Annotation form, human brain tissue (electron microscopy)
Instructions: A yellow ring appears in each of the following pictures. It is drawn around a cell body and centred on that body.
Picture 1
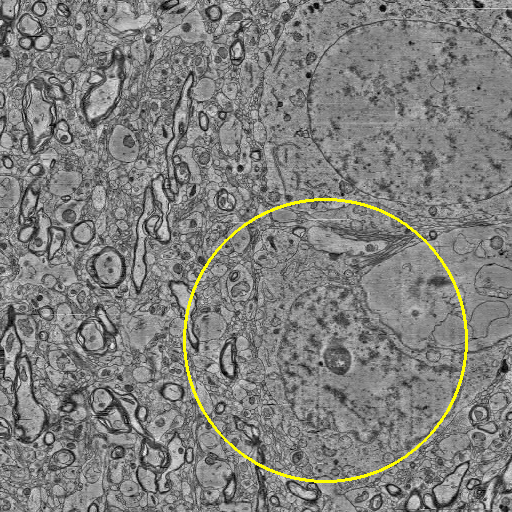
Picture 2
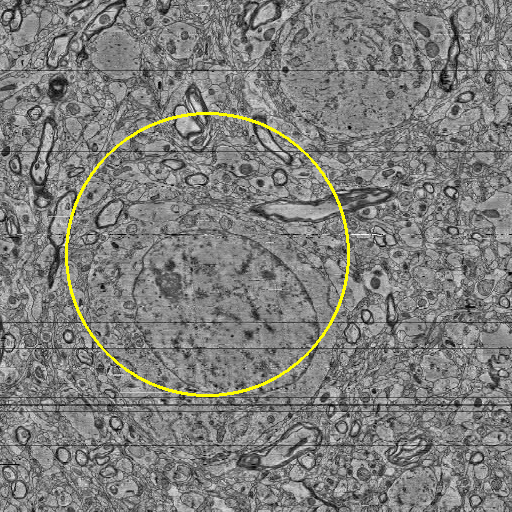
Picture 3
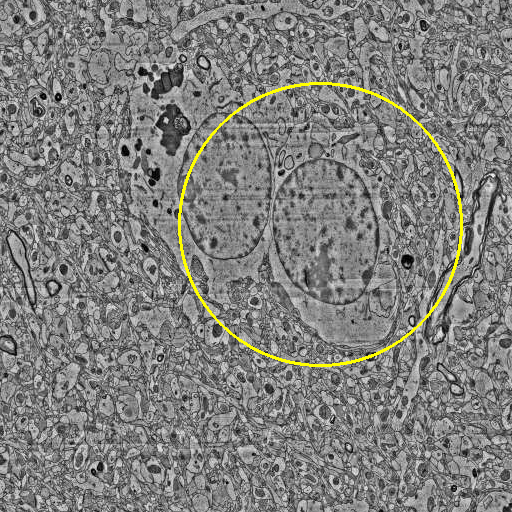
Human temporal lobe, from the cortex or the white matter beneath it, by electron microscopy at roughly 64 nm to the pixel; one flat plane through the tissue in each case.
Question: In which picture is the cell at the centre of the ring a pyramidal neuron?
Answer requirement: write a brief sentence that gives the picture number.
The cell at the centre of the ring in Picture 2 is the one asked for.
